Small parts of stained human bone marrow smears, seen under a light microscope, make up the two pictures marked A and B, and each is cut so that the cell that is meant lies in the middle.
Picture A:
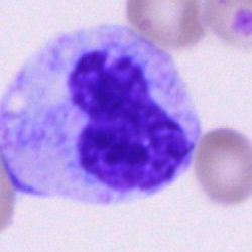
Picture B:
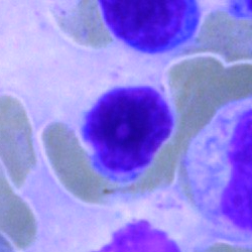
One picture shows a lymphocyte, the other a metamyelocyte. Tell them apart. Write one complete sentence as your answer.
It is picture A that shows a metamyelocyte, and picture B that shows a lymphocyte.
